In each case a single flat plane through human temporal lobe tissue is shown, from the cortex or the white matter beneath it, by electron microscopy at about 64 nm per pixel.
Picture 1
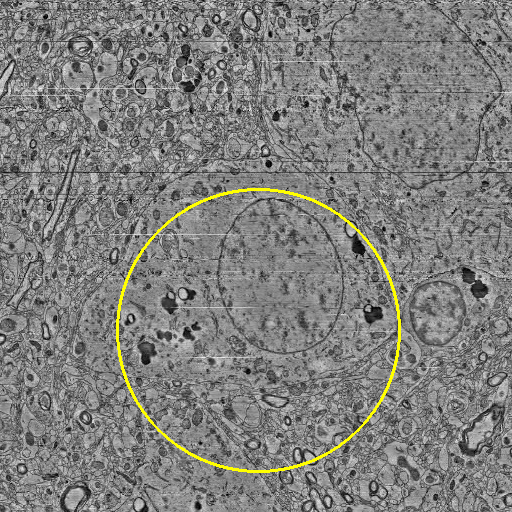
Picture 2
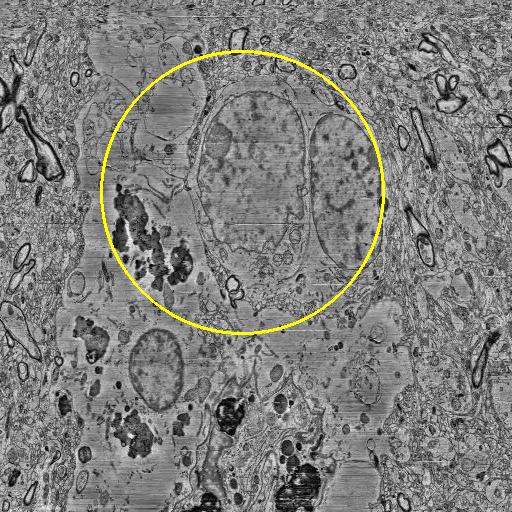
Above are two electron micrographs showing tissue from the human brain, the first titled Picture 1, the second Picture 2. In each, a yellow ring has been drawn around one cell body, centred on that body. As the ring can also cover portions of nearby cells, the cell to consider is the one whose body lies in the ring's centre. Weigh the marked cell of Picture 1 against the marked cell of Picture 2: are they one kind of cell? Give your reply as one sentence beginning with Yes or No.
Yes, the two cells sitting at the ring centres in the pictures are of one kind.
